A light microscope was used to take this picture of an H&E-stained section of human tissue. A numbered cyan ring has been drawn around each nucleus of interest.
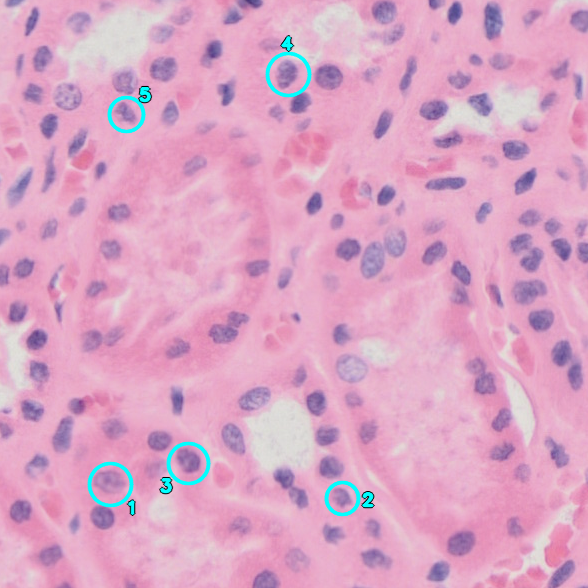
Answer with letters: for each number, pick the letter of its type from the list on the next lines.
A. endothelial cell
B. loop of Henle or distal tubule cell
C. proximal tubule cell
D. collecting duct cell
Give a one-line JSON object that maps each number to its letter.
{"1": "C", "2": "B", "3": "C", "4": "B", "5": "B"}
